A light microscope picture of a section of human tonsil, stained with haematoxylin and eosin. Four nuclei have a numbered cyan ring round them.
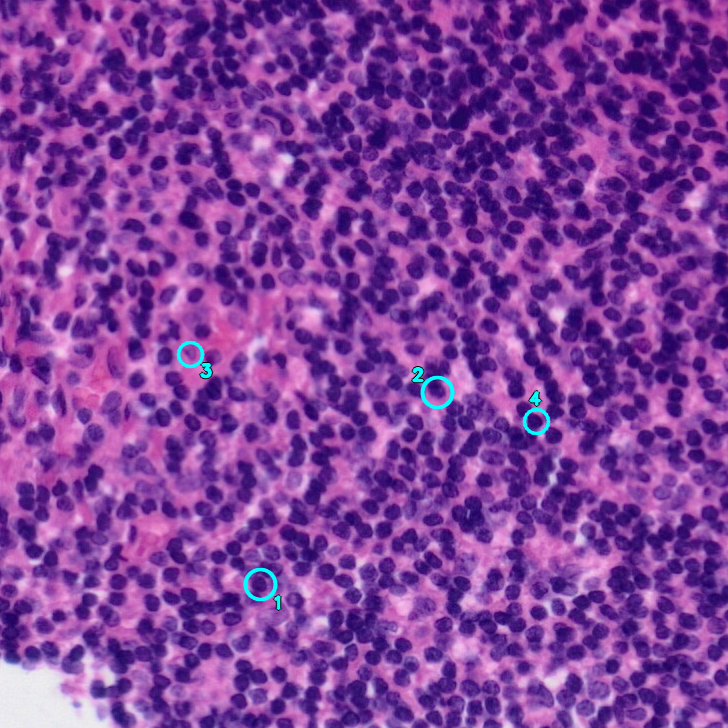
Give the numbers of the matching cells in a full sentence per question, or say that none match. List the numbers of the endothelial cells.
Only cell 3 should be marked as an endothelial cell.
